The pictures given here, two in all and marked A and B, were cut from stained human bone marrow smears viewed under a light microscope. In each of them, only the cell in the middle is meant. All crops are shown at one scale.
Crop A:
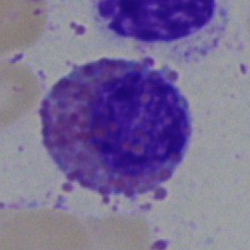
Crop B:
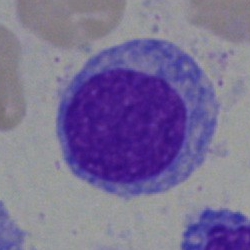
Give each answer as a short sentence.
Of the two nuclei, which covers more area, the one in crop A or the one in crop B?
It is the nucleus in crop B, about 1.5 times as large in area as the one in crop A.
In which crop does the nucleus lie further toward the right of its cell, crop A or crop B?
In crop A the nucleus is shifted more toward the right.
